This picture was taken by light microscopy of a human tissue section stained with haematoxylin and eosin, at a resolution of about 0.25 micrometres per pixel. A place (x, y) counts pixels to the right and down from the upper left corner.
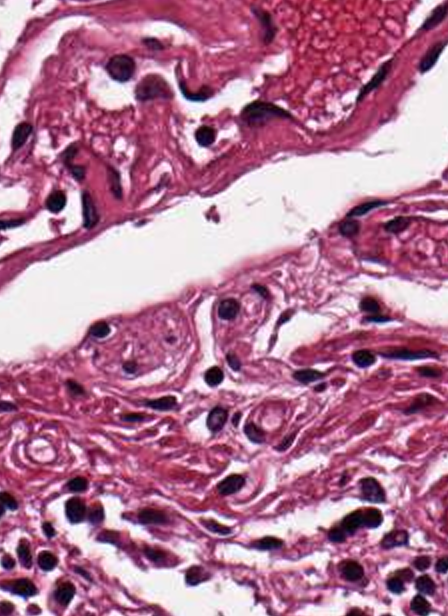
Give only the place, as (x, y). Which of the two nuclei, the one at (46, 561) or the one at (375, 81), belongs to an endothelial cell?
(375, 81)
